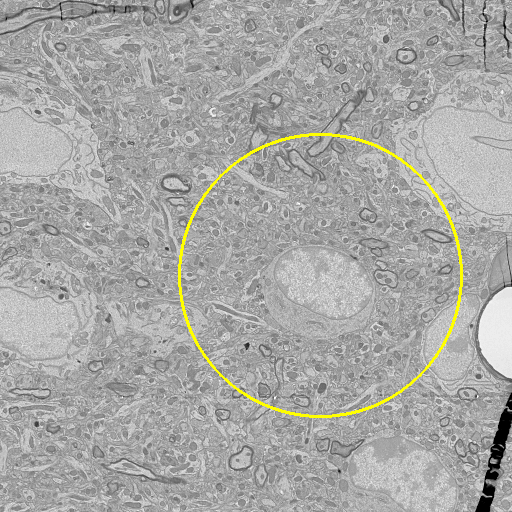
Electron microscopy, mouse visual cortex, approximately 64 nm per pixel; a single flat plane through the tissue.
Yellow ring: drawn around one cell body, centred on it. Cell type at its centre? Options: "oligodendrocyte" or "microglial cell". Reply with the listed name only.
oligodendrocyte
